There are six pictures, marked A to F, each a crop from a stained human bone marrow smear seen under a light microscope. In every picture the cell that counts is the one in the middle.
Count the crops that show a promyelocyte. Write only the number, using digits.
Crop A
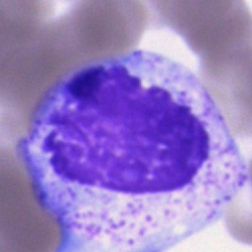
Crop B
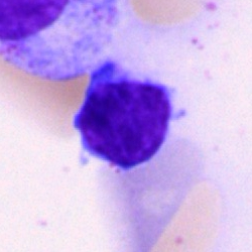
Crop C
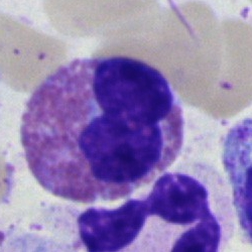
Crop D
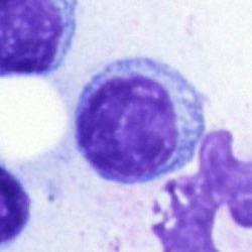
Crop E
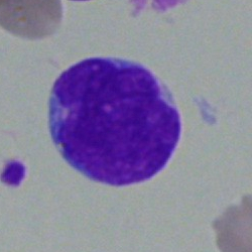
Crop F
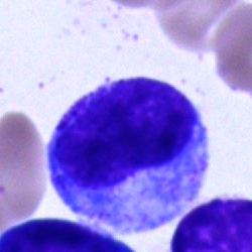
2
